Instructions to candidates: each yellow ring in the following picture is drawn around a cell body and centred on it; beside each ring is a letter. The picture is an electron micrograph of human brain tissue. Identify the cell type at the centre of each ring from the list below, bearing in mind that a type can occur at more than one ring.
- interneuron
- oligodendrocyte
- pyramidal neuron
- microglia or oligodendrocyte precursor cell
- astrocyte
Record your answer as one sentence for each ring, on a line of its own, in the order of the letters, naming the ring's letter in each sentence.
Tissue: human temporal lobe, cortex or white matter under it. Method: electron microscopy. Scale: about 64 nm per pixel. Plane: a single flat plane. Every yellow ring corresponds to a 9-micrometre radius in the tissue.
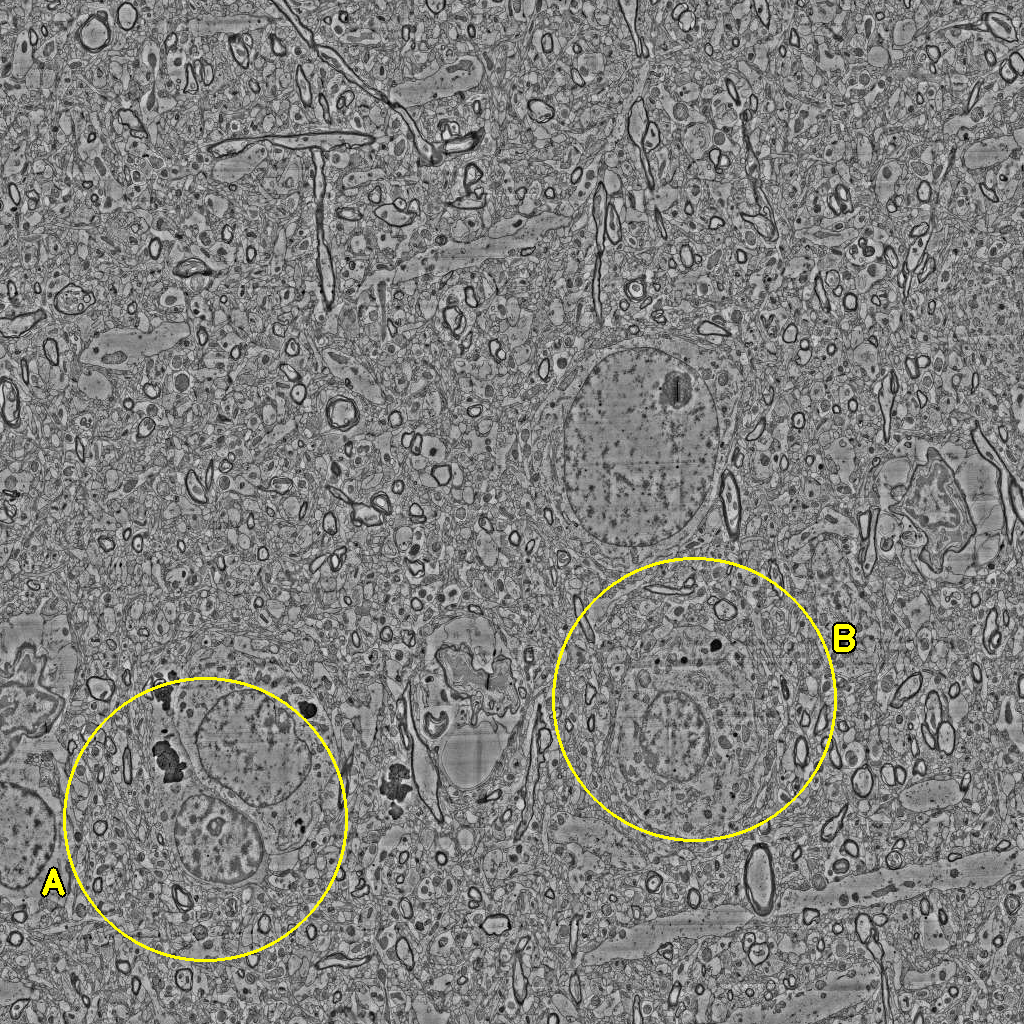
The cell centred in ring A is an oligodendrocyte.
The cell centred in ring B is an interneuron.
